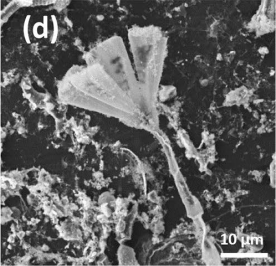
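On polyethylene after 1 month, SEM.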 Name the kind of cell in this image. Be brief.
Licmophora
